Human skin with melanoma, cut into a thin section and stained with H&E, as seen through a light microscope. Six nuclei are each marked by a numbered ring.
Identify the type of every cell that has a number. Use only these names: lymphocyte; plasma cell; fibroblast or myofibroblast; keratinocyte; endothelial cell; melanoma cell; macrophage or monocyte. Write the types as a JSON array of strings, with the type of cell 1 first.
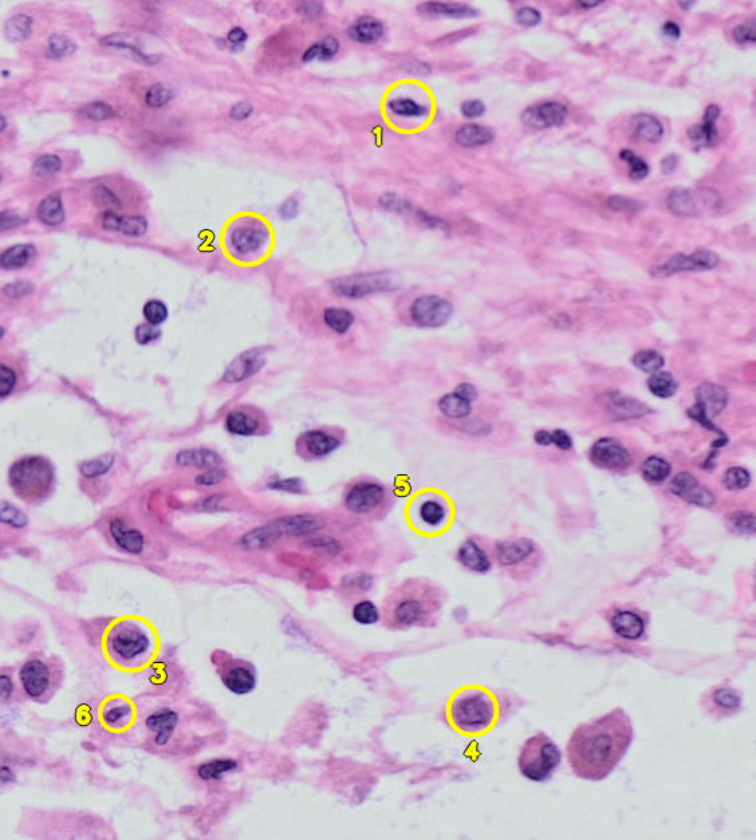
["lymphocyte", "macrophage or monocyte", "macrophage or monocyte", "macrophage or monocyte", "lymphocyte", "macrophage or monocyte"]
